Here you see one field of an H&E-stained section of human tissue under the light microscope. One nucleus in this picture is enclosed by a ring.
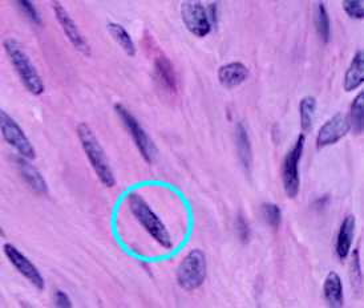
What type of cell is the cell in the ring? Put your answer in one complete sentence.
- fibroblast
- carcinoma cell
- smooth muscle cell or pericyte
Assigned to a cell type, the cell in the ring is a fibroblast.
